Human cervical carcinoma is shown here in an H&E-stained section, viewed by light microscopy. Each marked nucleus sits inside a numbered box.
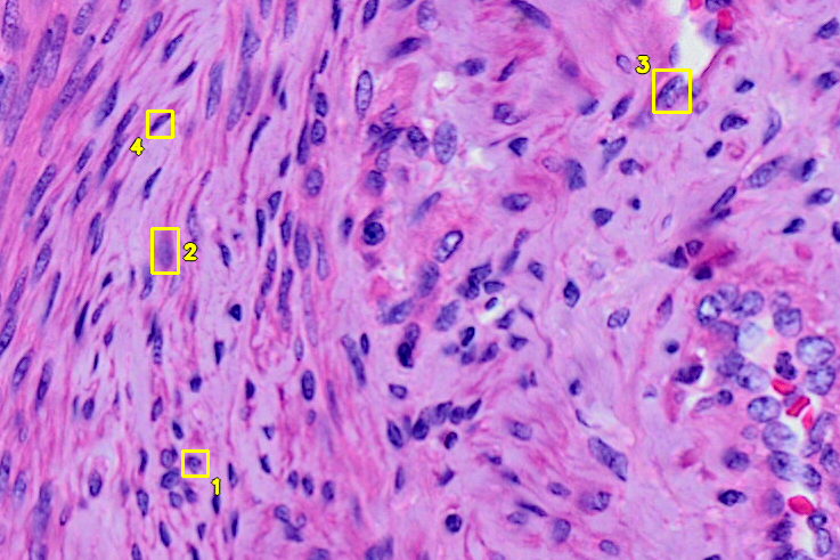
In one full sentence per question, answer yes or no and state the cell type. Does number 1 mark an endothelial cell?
No, the cell identified by number 1 is a smooth muscle cell, not an endothelial cell.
